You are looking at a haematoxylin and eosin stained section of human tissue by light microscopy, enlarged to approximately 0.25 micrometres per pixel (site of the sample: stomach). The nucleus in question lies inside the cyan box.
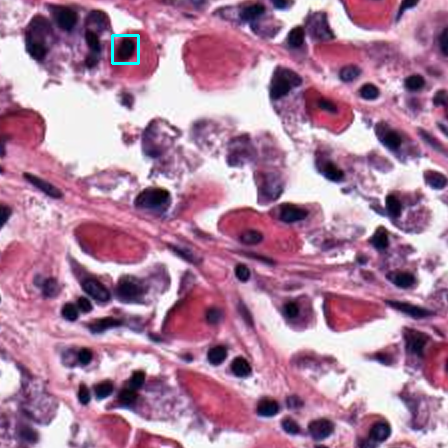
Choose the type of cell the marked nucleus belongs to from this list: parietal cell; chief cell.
parietal cell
